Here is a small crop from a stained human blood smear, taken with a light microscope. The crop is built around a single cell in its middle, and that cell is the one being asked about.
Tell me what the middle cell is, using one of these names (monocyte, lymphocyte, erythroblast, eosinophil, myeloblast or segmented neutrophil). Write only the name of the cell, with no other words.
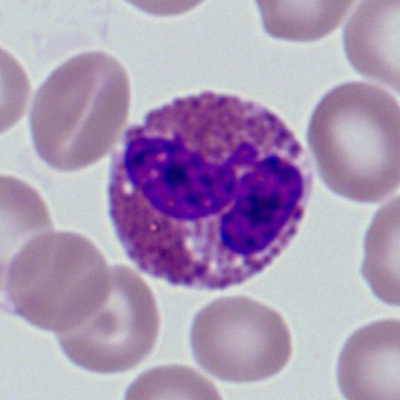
eosinophil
